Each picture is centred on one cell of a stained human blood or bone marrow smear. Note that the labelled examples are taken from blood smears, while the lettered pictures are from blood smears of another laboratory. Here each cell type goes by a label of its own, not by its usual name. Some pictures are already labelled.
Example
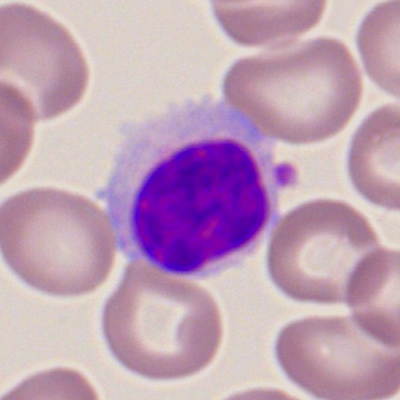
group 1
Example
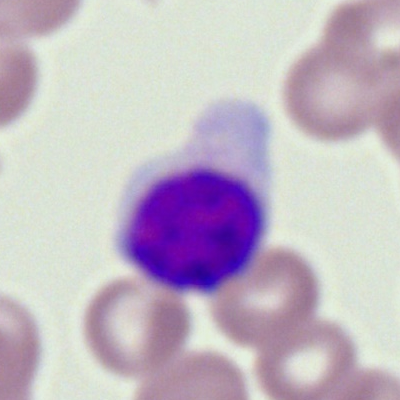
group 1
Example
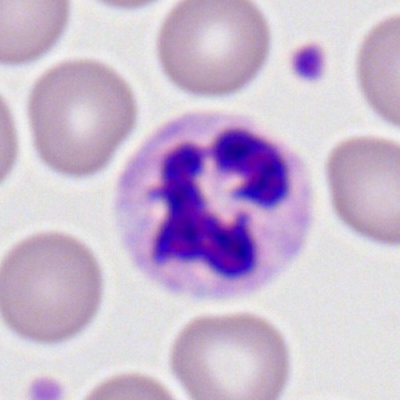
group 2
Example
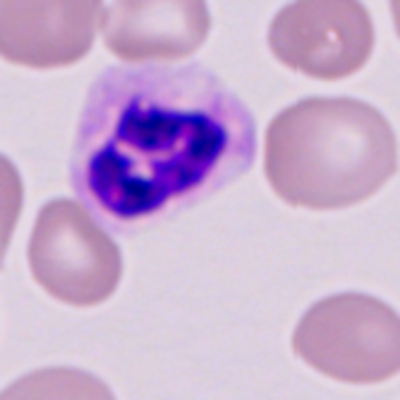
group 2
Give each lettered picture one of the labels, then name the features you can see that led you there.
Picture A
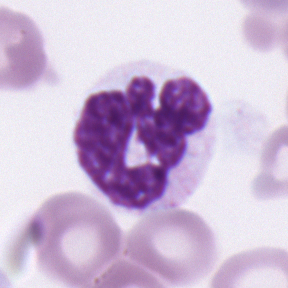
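group 2. Reason: The nuclear lobes are arranged in a ring around a small pale central gap.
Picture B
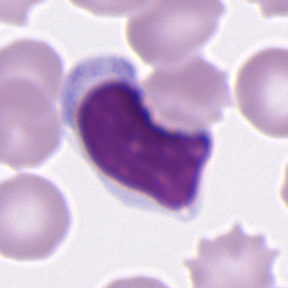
group 1. Reason: The nucleus fills most of the cell.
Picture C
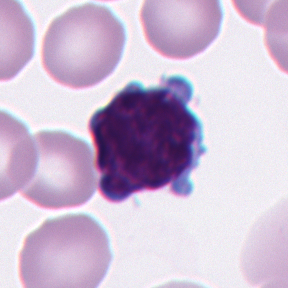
group 1. Reason: The cytoplasm is scant and pale blue.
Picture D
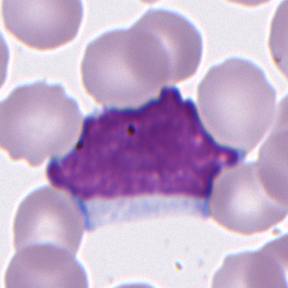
group 1. Reason: The cytoplasm forms only a narrow band along the lower edge of the cell.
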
